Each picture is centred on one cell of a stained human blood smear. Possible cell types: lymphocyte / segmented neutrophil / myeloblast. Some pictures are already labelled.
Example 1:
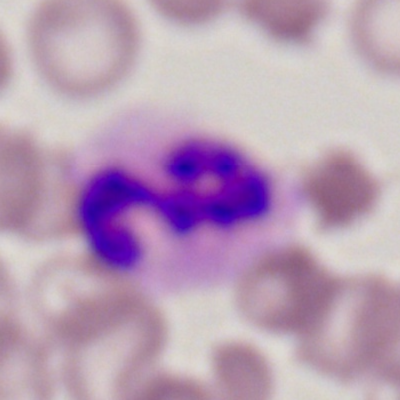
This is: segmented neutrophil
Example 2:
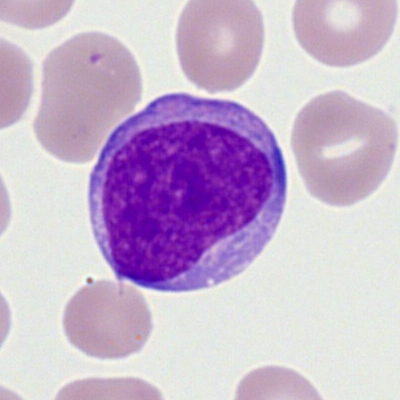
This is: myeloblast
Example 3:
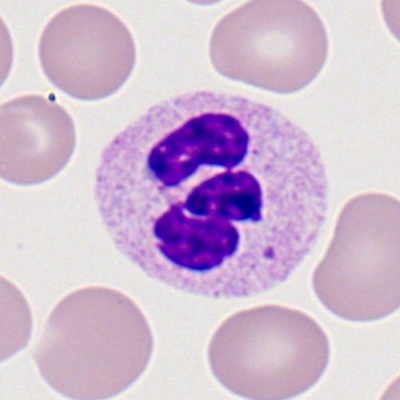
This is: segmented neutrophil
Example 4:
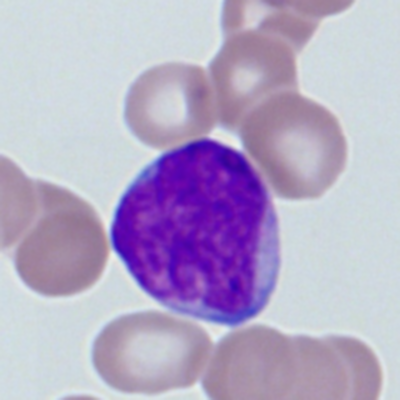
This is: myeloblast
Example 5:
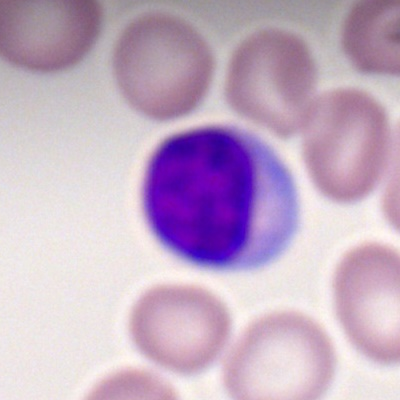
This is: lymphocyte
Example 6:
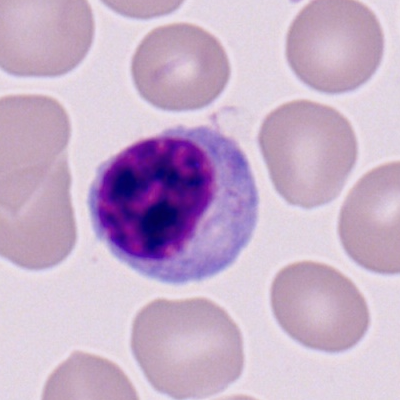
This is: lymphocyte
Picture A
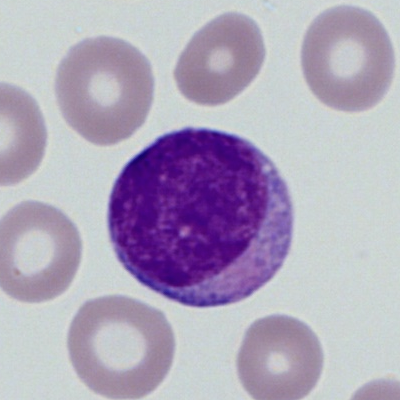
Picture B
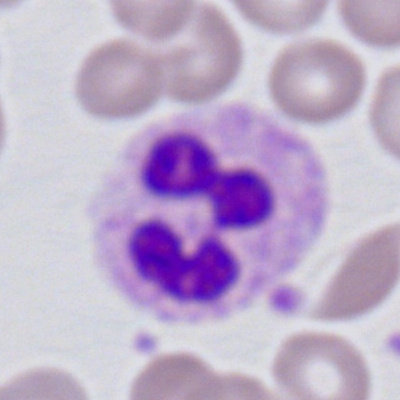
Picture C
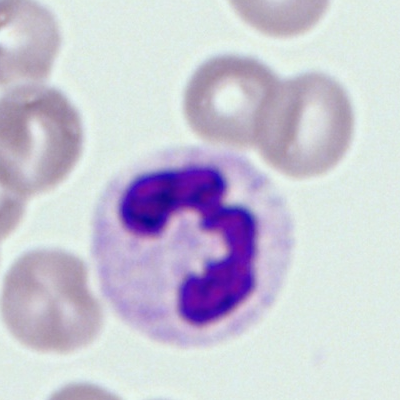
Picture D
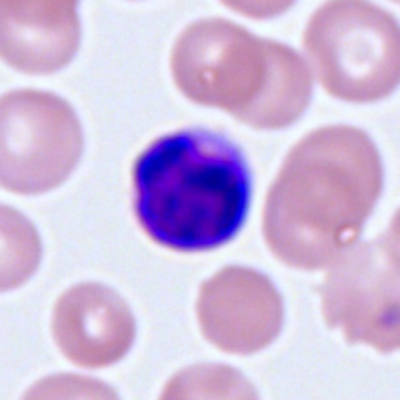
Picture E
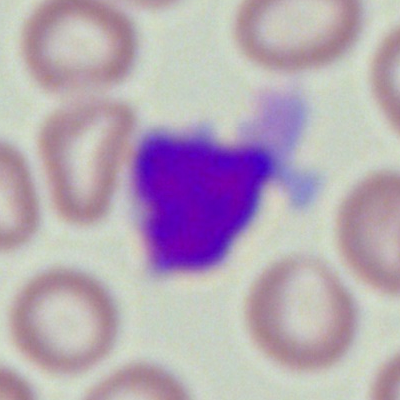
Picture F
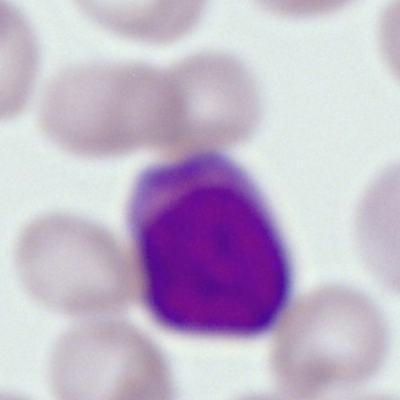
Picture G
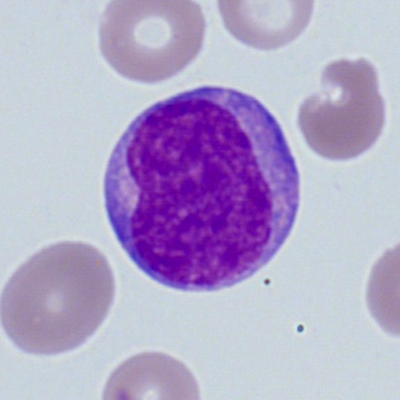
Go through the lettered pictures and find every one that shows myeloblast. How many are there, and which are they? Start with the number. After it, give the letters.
3, namely A, F, G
